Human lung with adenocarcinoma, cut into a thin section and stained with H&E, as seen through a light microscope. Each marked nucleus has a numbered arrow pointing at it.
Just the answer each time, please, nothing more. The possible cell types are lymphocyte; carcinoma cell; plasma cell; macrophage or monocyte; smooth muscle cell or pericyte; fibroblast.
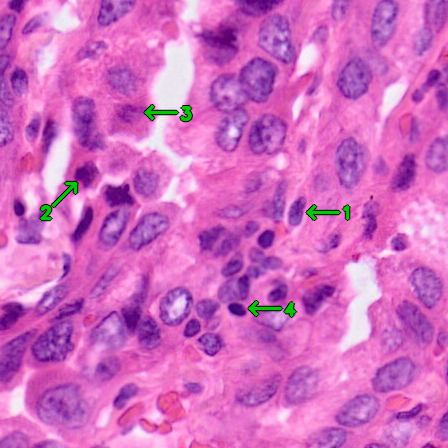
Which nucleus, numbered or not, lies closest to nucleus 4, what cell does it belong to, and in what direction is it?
a fibroblast above nucleus 4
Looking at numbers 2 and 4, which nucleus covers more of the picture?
2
